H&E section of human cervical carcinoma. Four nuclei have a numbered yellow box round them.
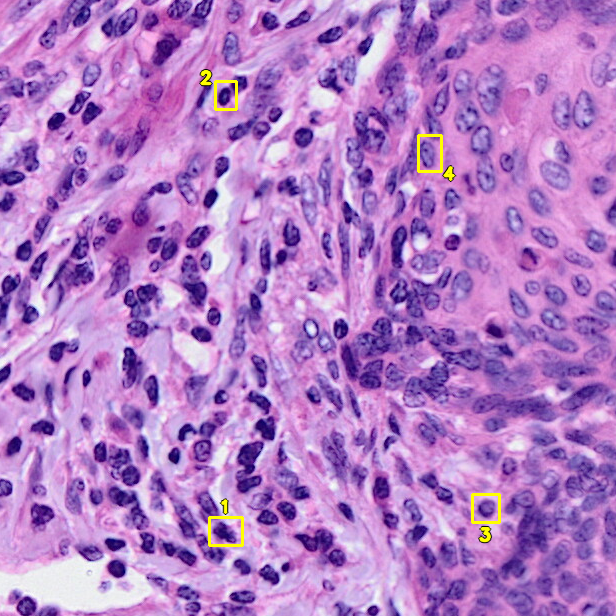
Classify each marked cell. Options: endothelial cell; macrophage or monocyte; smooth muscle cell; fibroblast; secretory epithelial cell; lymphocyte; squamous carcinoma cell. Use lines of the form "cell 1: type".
cell 1: lymphocyte
cell 2: lymphocyte
cell 3: lymphocyte
cell 4: squamous carcinoma cell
